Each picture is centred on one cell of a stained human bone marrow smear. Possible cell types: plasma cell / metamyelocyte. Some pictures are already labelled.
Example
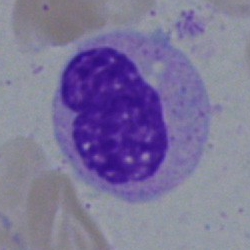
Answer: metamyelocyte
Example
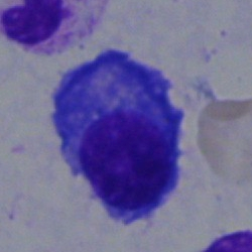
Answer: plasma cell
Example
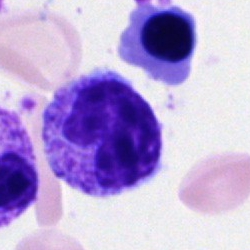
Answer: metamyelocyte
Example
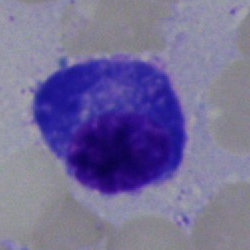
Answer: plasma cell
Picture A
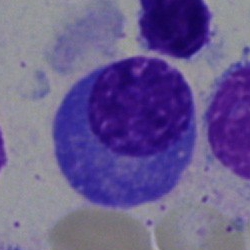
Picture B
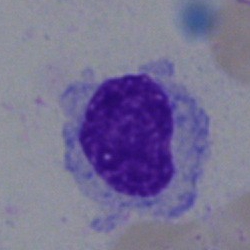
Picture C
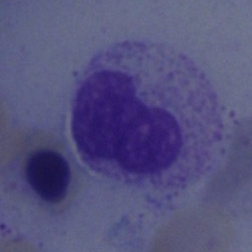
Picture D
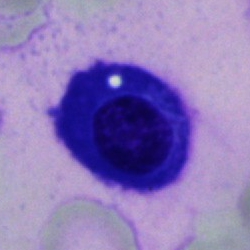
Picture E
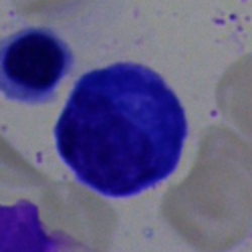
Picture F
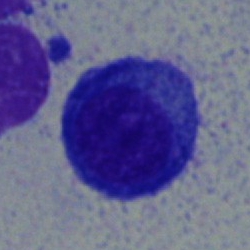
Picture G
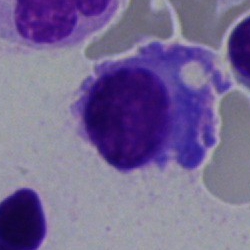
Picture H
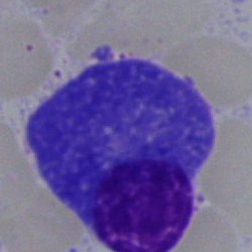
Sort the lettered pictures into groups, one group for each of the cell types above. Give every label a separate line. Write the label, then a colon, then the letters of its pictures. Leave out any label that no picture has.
plasma cell: A, D, E, F, G, H
metamyelocyte: B, C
